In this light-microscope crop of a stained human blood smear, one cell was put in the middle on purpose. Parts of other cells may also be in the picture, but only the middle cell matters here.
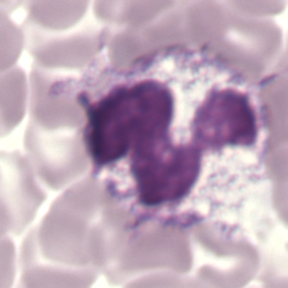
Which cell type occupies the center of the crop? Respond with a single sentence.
The centered cell in this crop is a segmented neutrophil.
